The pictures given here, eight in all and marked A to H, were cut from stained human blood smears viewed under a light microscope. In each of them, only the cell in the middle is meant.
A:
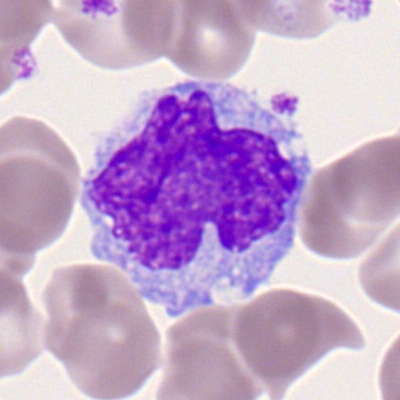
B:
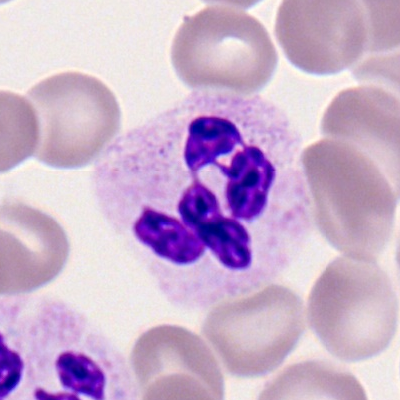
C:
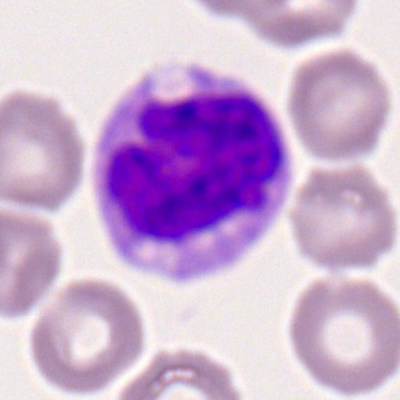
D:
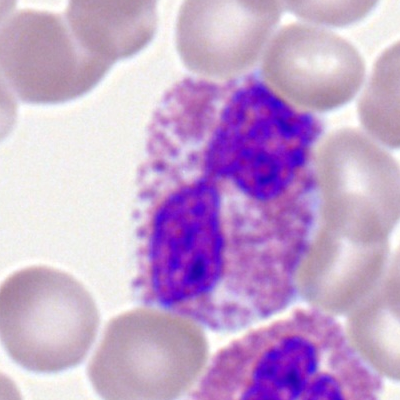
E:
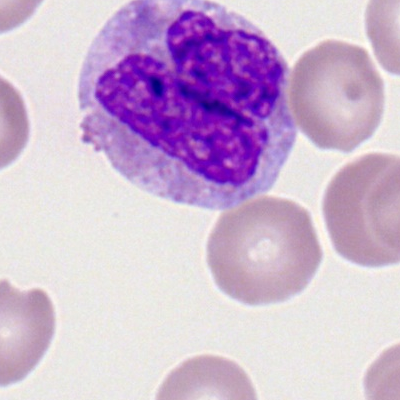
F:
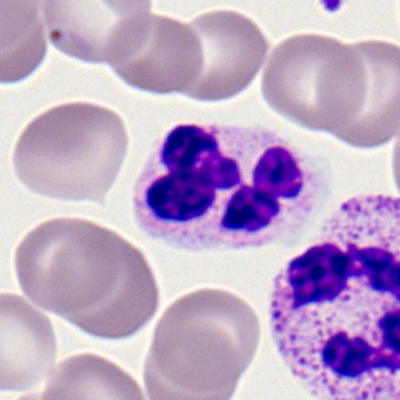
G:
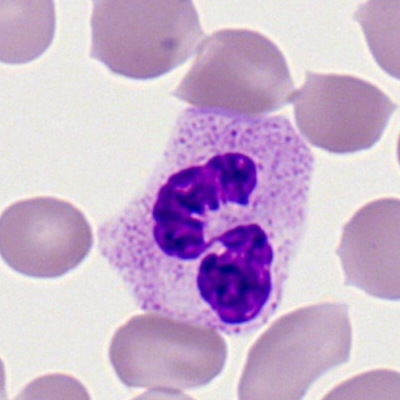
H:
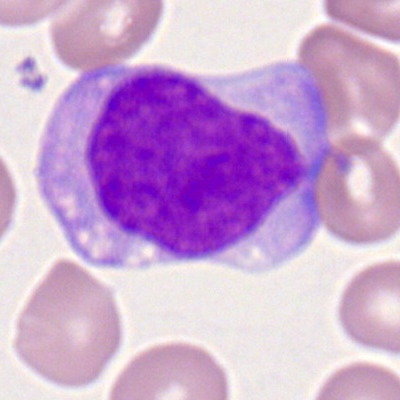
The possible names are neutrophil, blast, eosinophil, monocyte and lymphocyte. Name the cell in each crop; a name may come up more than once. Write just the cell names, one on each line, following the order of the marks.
monocyte
neutrophil
monocyte
eosinophil
monocyte
neutrophil
neutrophil
monocyte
